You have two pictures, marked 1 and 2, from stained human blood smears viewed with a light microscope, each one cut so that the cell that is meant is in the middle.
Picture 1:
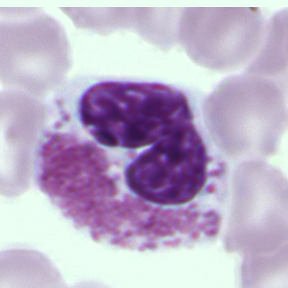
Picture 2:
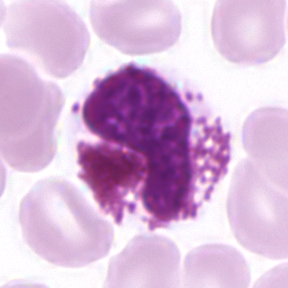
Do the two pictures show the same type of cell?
yes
